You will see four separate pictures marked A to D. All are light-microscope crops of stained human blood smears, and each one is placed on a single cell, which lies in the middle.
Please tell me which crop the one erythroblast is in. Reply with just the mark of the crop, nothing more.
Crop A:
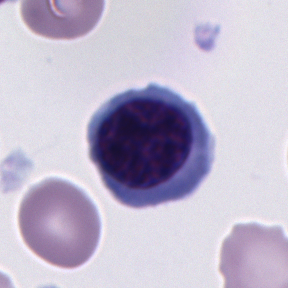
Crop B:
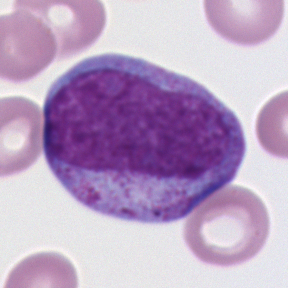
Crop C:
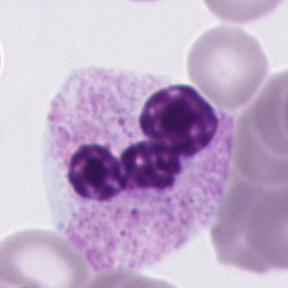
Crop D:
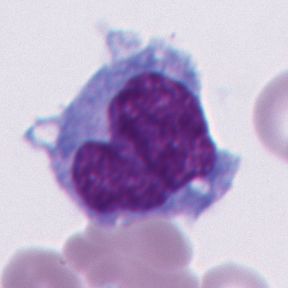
A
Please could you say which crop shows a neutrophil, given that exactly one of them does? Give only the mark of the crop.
C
